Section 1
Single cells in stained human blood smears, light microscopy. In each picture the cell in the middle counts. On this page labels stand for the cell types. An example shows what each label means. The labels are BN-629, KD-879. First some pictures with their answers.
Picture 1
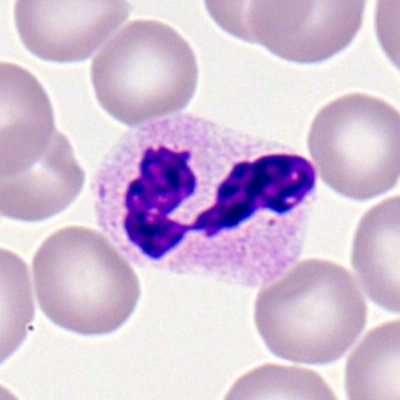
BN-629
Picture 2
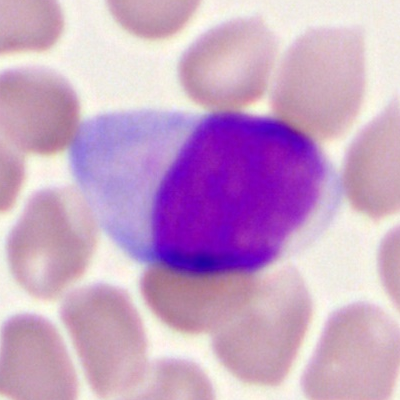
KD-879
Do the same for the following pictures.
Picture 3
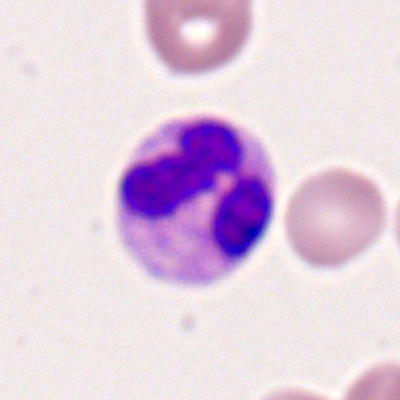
BN-629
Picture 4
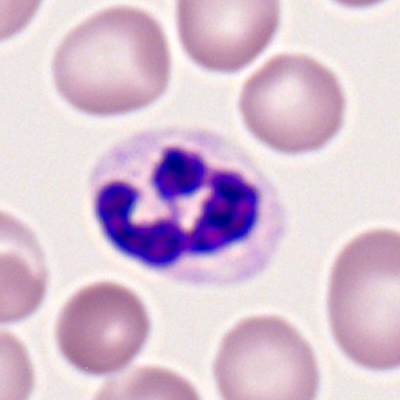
BN-629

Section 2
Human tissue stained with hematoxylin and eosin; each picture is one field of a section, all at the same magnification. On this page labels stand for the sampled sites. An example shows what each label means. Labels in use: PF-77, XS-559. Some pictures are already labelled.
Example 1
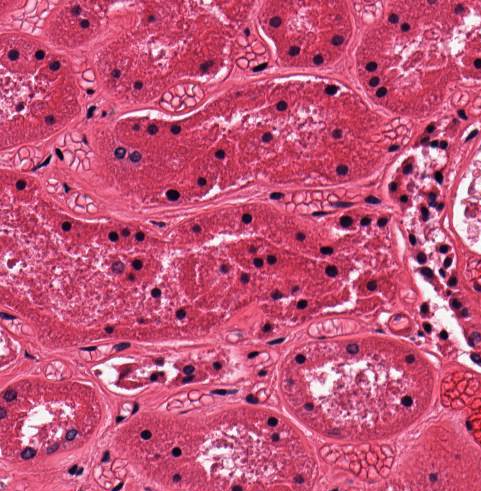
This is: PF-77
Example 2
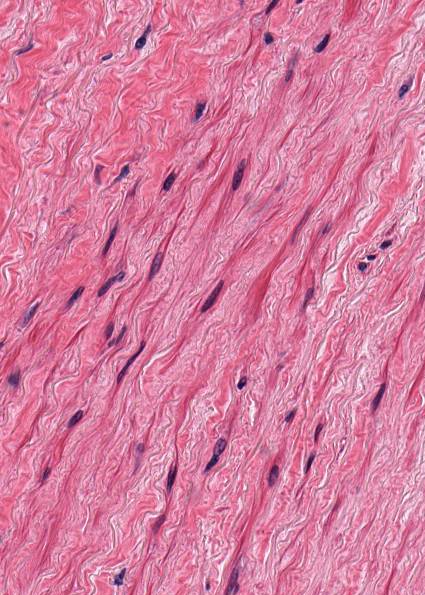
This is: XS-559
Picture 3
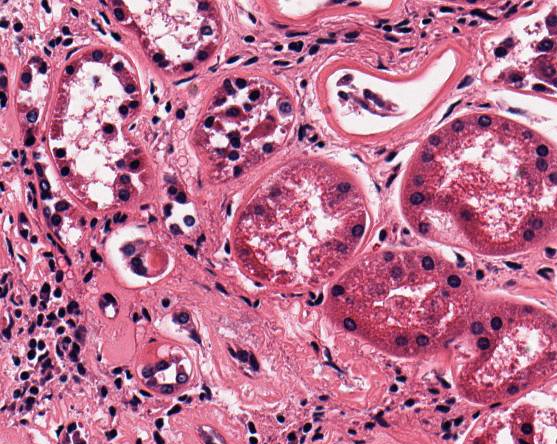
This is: PF-77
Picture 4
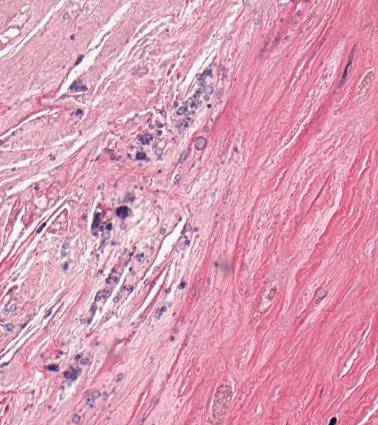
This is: XS-559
